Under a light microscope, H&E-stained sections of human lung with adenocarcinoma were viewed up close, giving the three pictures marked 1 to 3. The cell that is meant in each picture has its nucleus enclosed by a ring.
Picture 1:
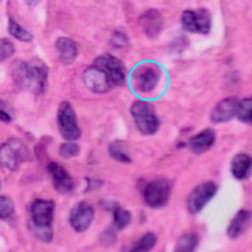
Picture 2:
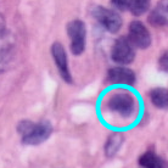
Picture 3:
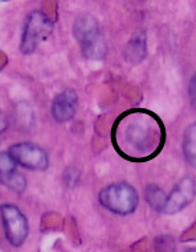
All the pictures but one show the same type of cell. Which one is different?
3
